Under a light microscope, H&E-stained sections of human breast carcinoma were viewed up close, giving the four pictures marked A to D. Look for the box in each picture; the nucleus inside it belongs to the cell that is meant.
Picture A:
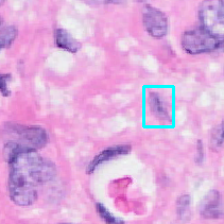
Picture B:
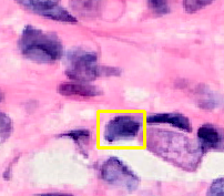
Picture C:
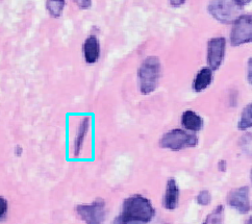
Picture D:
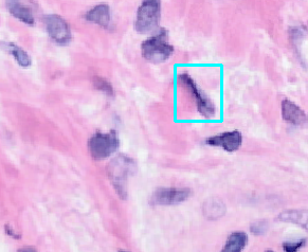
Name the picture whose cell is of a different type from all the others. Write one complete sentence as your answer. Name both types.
The others show fibroblasts, but picture B shows a carcinoma cell.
